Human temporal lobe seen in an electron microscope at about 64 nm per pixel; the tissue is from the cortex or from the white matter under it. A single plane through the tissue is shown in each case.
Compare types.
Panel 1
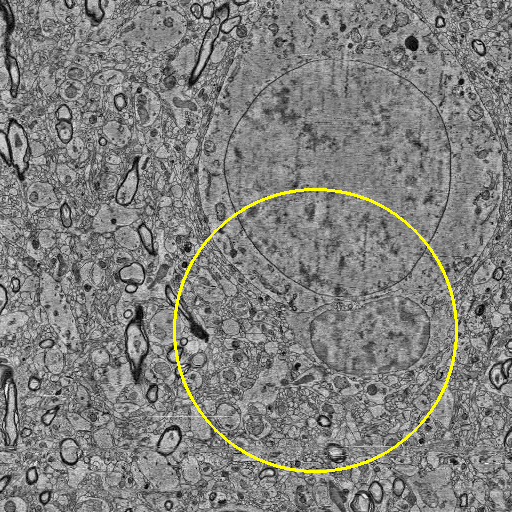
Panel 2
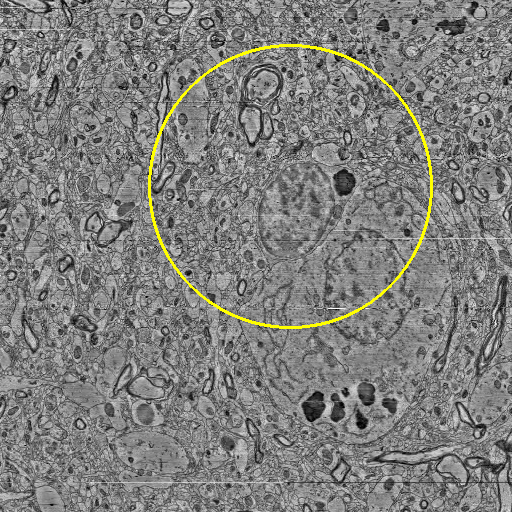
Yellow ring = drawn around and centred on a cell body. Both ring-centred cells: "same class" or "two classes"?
same class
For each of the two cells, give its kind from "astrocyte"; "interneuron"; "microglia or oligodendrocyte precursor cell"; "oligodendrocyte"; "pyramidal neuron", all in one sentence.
Each cell at the centre of a ring is an oligodendrocyte.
